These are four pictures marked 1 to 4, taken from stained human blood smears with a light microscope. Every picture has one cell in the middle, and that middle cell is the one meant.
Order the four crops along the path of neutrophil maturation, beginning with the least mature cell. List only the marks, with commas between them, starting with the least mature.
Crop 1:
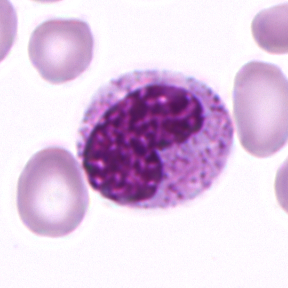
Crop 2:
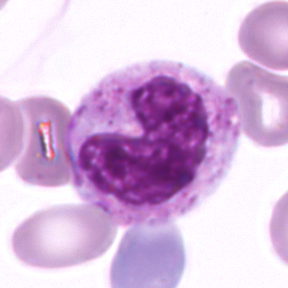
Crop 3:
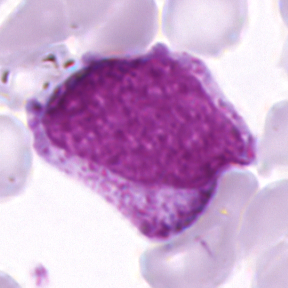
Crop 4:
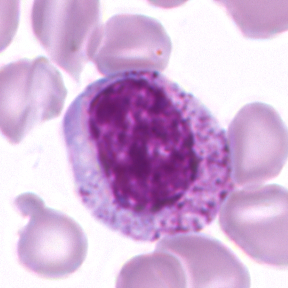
3, 4, 2, 1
